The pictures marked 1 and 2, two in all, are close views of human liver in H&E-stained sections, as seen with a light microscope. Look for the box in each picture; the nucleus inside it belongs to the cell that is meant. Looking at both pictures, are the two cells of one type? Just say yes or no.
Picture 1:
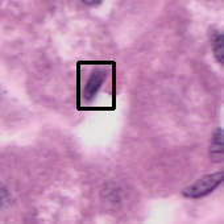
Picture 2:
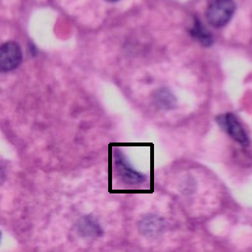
no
